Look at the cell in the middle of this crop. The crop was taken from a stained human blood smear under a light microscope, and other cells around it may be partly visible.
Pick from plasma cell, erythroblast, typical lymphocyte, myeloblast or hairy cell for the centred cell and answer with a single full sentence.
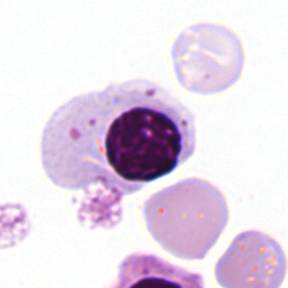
The cell at the heart of this crop is an erythroblast.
